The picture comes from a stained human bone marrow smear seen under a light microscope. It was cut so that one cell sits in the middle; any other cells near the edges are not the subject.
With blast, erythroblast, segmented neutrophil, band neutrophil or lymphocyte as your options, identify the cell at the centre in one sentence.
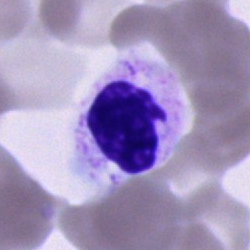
Looking at the middle of the crop, the cell there is a segmented neutrophil.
